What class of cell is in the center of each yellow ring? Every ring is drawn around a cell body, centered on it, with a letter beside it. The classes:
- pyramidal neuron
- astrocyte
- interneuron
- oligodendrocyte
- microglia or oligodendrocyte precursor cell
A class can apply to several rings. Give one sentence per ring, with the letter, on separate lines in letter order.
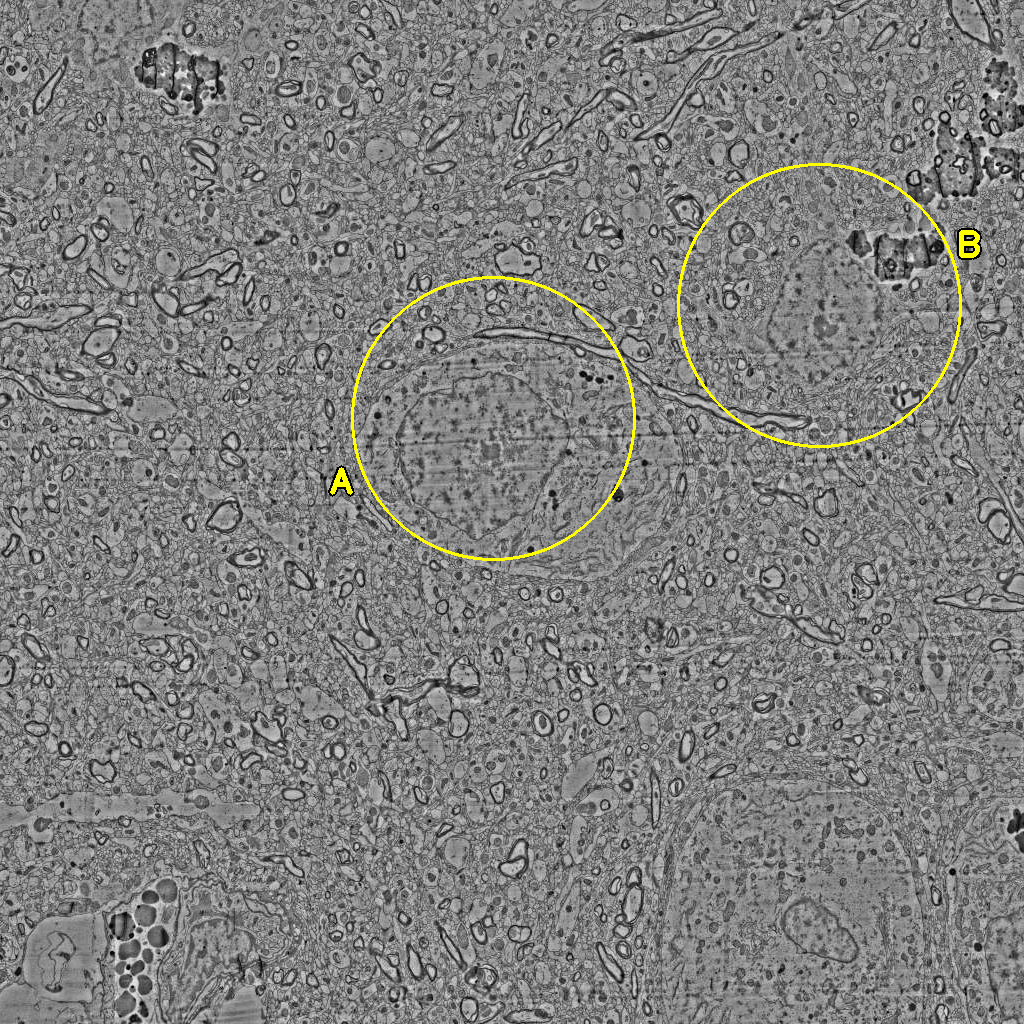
Ring A holds an interneuron at its center.
Ring B holds an astrocyte at its center.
